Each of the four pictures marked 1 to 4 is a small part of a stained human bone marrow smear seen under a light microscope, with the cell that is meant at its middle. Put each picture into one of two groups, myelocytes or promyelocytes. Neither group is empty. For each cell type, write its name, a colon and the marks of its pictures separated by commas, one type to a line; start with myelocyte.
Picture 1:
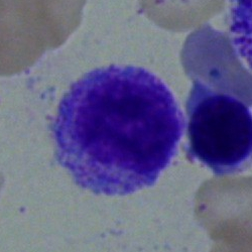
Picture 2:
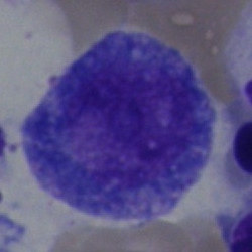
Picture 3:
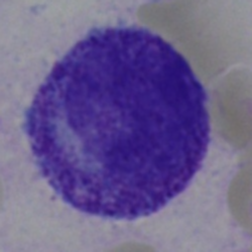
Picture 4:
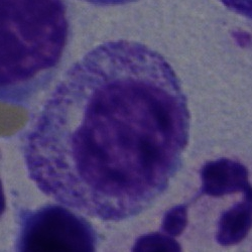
myelocyte: 1, 4
promyelocyte: 2, 3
